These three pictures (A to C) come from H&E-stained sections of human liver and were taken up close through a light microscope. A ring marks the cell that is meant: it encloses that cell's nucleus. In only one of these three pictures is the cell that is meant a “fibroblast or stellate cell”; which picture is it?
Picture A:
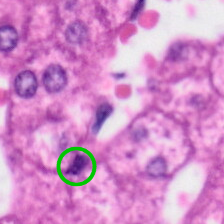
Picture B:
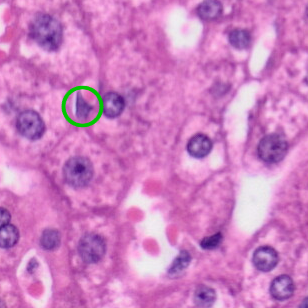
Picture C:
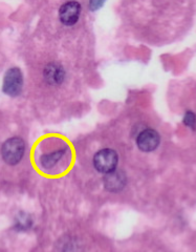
A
